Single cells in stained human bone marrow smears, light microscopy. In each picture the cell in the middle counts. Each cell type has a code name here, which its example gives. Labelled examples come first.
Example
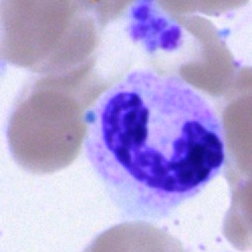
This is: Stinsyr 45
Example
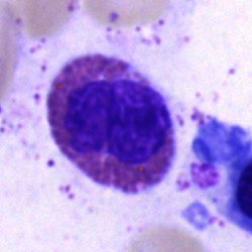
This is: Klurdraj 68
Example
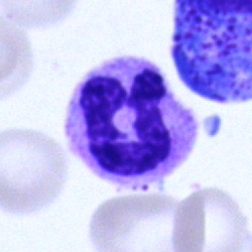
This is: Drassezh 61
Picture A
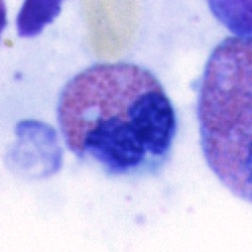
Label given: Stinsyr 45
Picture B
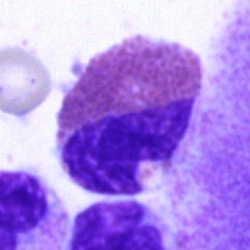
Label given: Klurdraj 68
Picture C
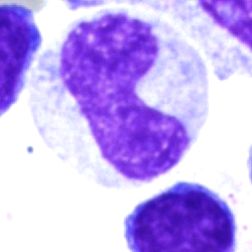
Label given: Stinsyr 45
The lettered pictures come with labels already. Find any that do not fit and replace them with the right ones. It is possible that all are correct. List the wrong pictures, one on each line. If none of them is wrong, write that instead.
A: not Stinsyr 45 but Klurdraj 68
